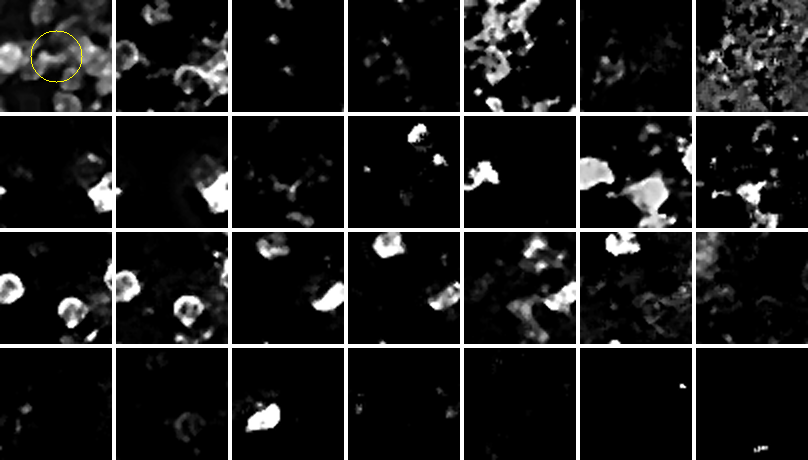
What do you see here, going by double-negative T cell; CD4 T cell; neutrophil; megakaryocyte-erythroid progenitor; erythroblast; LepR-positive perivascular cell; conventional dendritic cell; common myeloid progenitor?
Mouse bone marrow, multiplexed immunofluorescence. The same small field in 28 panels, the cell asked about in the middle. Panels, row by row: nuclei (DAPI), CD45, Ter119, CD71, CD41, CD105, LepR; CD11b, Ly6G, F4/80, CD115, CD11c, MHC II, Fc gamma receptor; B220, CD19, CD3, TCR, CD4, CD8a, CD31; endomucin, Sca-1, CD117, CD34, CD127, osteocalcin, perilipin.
I see a LepR-positive perivascular cell.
